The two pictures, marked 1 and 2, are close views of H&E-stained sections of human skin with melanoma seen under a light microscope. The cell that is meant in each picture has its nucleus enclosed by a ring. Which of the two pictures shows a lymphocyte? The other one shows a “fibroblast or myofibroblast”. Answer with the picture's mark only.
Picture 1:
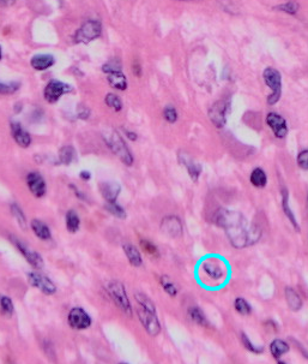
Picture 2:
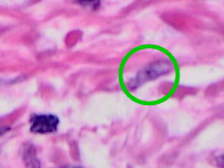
1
